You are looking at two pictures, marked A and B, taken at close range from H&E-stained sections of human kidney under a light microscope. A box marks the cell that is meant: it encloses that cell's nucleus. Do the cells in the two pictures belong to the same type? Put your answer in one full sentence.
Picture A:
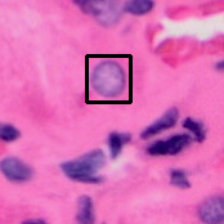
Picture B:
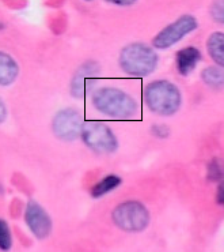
No, picture A shows a proximal tubule cell and picture B shows a collecting duct cell.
